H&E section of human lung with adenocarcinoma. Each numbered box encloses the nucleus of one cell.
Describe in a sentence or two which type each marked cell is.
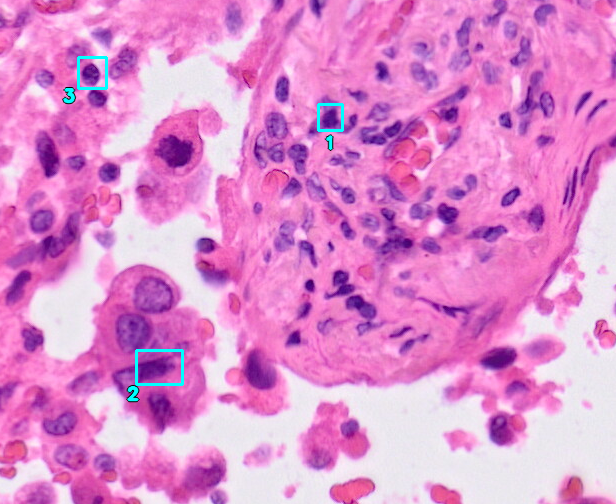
Cell 1 is a lymphocyte, cell 2 is a carcinoma cell and cell 3 is a lymphocyte.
